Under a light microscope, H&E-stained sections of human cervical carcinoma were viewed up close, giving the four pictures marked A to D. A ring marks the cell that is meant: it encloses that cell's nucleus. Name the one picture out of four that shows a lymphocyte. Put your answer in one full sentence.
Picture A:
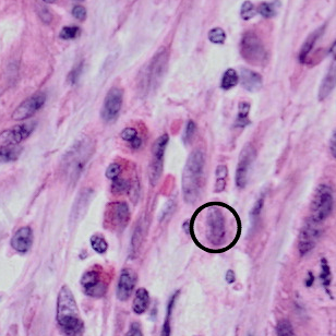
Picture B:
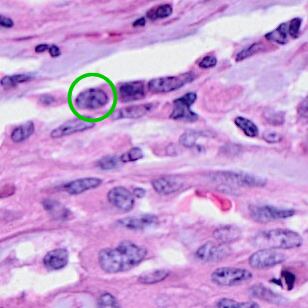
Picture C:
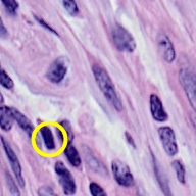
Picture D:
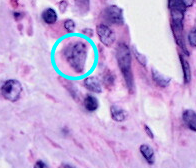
Picture C is the one that shows the lymphocyte.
